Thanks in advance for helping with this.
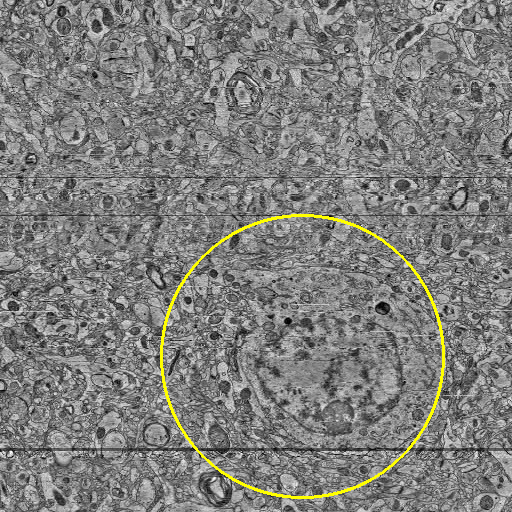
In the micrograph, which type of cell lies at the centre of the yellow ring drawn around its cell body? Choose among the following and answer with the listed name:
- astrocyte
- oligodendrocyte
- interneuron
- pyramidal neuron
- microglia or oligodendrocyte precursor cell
interneuron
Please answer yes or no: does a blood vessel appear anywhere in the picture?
No.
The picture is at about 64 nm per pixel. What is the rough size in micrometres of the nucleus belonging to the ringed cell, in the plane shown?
In this plane the nucleus measures roughly 9 by 8 micrometres.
